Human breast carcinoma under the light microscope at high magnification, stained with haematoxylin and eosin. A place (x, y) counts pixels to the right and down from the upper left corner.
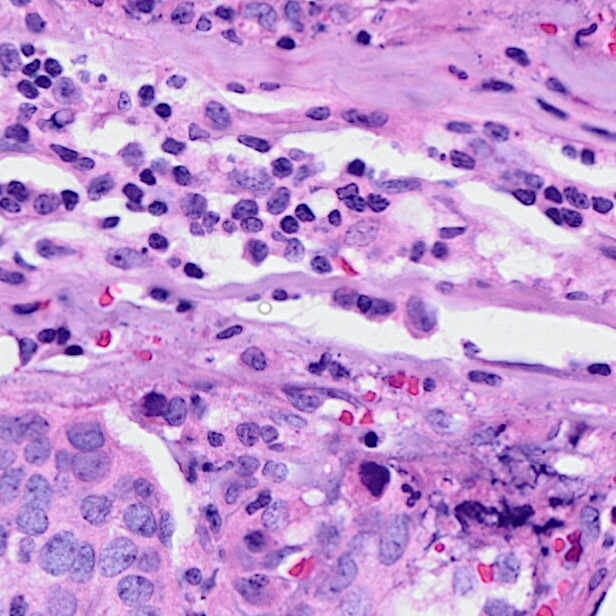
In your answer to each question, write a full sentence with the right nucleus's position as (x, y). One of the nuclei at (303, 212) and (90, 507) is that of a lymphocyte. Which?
The nucleus at (303, 212) is identified as belonging to a lymphocyte.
